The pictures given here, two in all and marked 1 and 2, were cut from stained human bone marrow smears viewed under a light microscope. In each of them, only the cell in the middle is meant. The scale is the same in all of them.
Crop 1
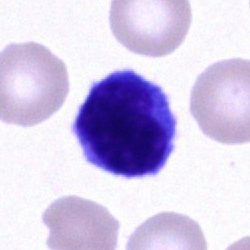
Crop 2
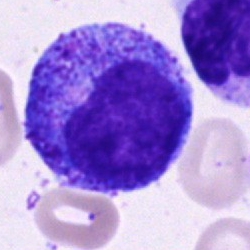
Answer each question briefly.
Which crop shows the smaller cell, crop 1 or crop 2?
1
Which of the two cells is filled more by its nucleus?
1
